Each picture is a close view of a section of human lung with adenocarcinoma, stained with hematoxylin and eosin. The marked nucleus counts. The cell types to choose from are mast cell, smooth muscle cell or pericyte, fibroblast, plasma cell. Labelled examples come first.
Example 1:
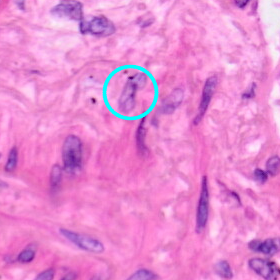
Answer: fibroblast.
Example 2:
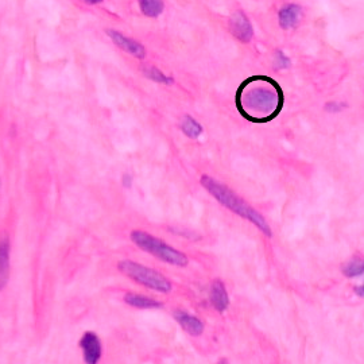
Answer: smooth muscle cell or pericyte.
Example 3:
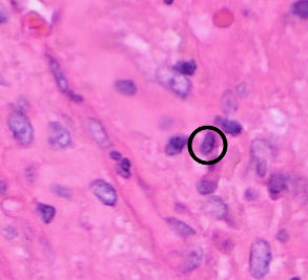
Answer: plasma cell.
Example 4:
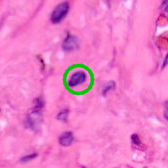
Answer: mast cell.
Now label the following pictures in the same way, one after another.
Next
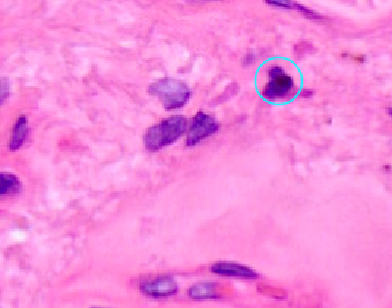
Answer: plasma cell.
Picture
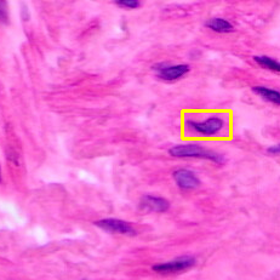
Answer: smooth muscle cell or pericyte.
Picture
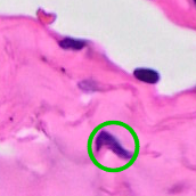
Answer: fibroblast.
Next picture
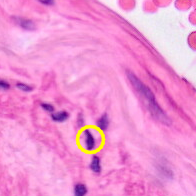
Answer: smooth muscle cell or pericyte.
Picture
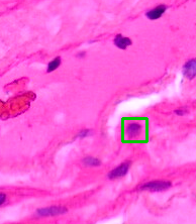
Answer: smooth muscle cell or pericyte.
